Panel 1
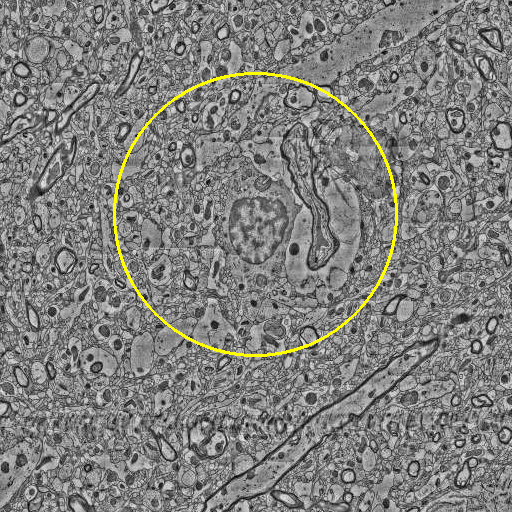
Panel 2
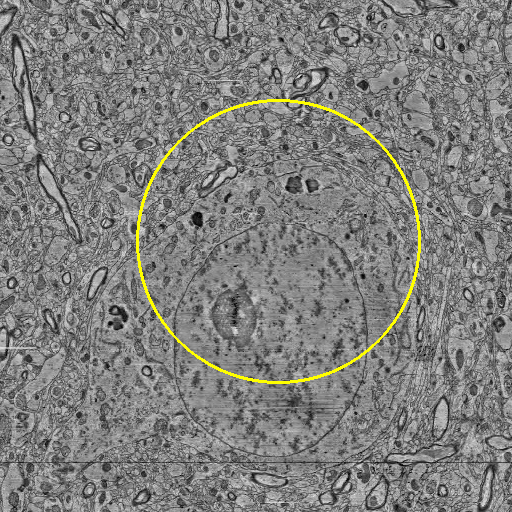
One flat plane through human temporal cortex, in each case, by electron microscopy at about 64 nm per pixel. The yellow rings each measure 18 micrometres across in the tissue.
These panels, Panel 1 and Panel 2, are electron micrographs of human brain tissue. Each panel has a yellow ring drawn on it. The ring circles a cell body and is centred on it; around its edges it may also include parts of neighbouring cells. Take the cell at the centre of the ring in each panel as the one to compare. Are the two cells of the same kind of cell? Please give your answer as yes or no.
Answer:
no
